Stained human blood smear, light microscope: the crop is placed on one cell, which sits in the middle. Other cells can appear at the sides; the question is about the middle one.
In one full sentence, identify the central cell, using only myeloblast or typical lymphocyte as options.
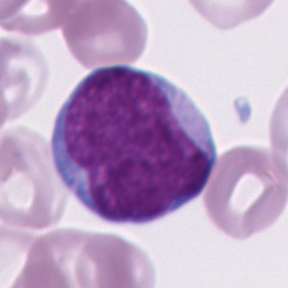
The cell in the middle of this crop is a myeloblast.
